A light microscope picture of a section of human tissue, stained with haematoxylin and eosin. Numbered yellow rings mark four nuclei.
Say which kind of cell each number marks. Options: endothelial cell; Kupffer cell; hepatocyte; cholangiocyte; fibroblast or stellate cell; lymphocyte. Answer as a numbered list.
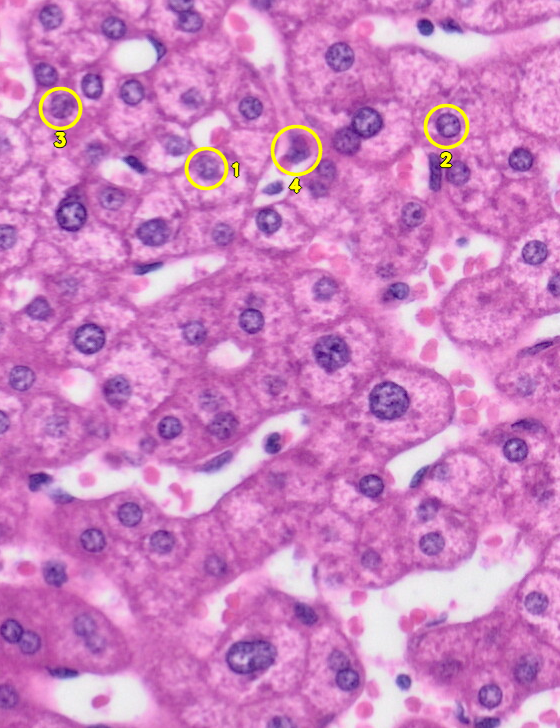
1. hepatocyte
2. hepatocyte
3. hepatocyte
4. Kupffer cell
